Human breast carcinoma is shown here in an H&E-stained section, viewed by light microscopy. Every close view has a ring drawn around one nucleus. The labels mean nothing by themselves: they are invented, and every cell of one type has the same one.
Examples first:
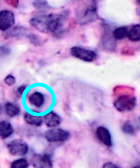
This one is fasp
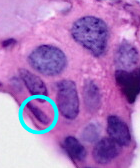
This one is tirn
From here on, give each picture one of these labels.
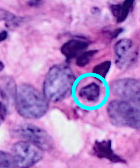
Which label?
tirn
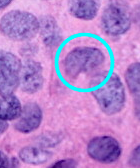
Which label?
tirn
